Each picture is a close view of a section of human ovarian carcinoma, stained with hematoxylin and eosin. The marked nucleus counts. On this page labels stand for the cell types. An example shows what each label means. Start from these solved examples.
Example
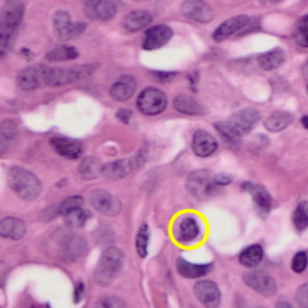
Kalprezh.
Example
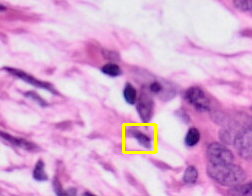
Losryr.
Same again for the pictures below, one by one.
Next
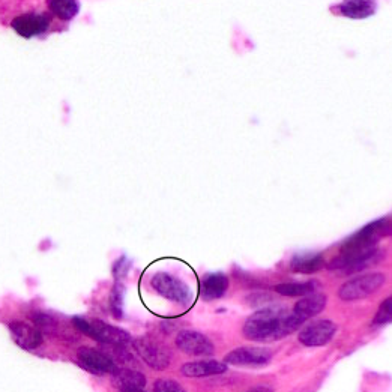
Kalprezh.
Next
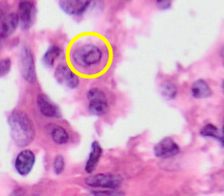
Kalprezh.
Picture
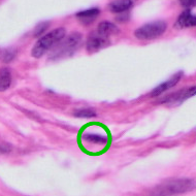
Losryr.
